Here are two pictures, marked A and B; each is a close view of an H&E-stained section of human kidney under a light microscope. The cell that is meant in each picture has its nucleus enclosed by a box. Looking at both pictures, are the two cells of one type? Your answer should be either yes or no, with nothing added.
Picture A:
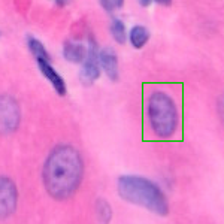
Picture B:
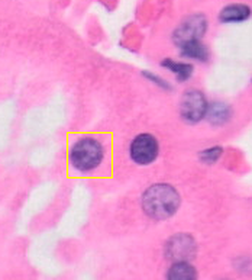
yes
